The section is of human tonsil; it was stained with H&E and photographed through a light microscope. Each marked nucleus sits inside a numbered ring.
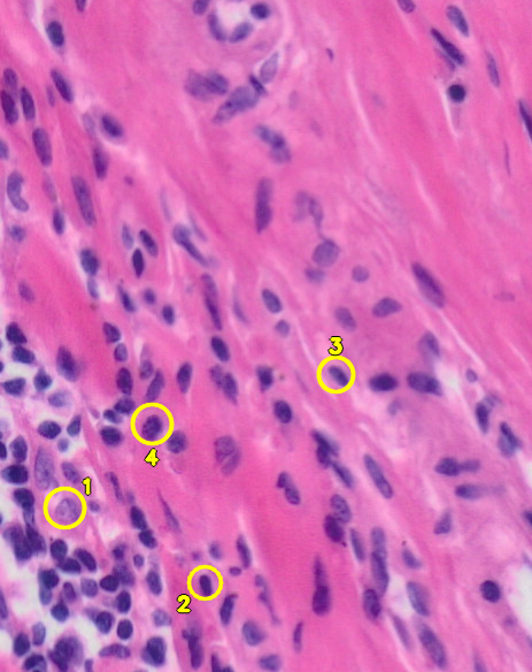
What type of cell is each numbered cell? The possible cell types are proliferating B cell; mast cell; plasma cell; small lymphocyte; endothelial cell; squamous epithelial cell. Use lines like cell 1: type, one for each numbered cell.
cell 1: endothelial cell
cell 2: mast cell
cell 3: mast cell
cell 4: mast cell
